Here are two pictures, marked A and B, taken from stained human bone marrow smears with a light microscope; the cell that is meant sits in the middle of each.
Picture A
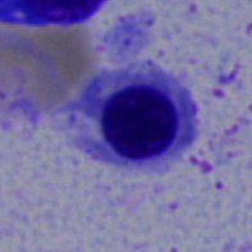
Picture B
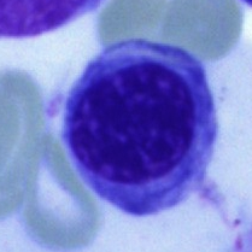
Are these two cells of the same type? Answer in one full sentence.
Yes, both are erythroblasts.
